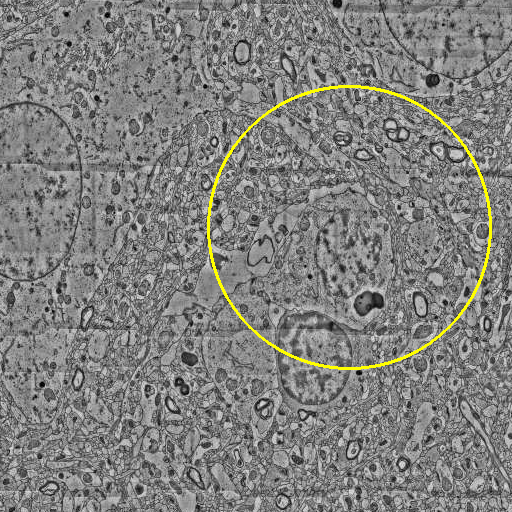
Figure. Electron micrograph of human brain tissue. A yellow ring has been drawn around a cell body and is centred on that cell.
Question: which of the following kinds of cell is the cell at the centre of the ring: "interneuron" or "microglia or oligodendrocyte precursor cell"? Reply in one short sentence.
The cell at the centre of the ring is an interneuron.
